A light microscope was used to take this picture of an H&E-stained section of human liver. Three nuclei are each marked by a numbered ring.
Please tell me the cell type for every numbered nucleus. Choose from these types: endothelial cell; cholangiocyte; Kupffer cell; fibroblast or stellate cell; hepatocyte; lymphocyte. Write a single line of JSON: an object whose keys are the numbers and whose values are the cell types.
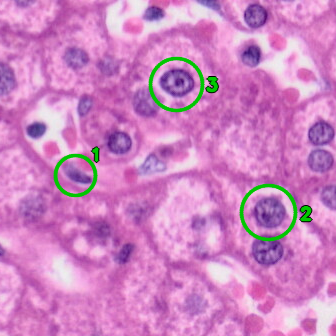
{"1": "endothelial cell", "2": "hepatocyte", "3": "hepatocyte"}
